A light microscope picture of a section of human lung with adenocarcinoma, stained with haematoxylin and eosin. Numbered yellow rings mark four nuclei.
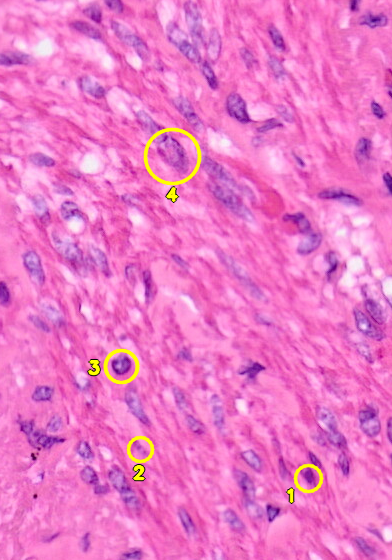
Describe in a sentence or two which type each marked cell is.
Cells 1, 2 and 4 are smooth muscle cells or pericytes. Cell 3 is a mast cell.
